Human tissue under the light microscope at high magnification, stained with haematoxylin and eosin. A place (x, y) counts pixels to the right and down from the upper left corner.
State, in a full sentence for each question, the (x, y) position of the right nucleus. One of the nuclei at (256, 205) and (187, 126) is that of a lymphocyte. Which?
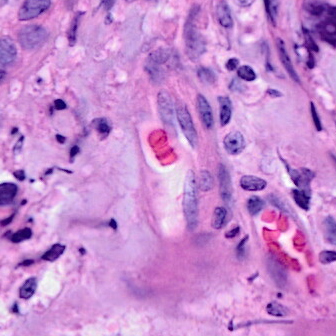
Of the two nuclei, the one sitting at (256, 205) belongs to a lymphocyte.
